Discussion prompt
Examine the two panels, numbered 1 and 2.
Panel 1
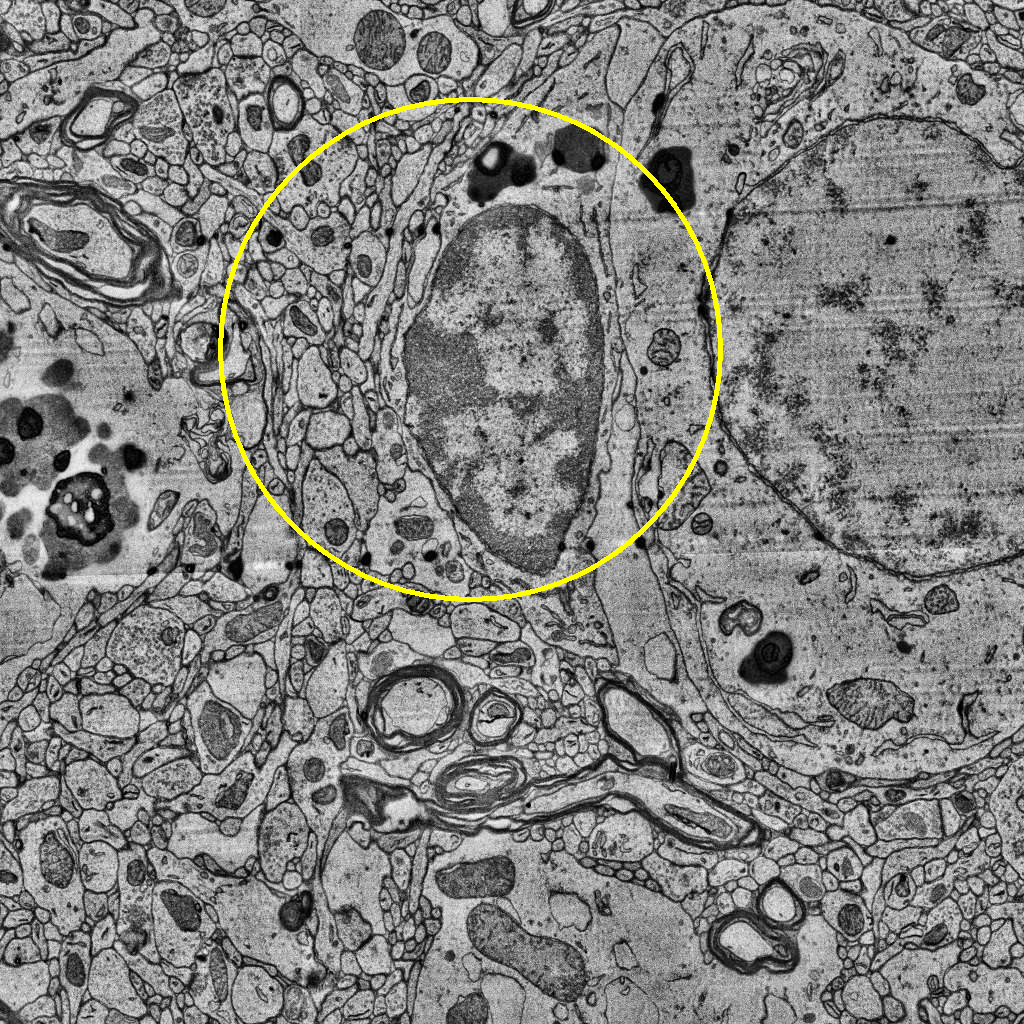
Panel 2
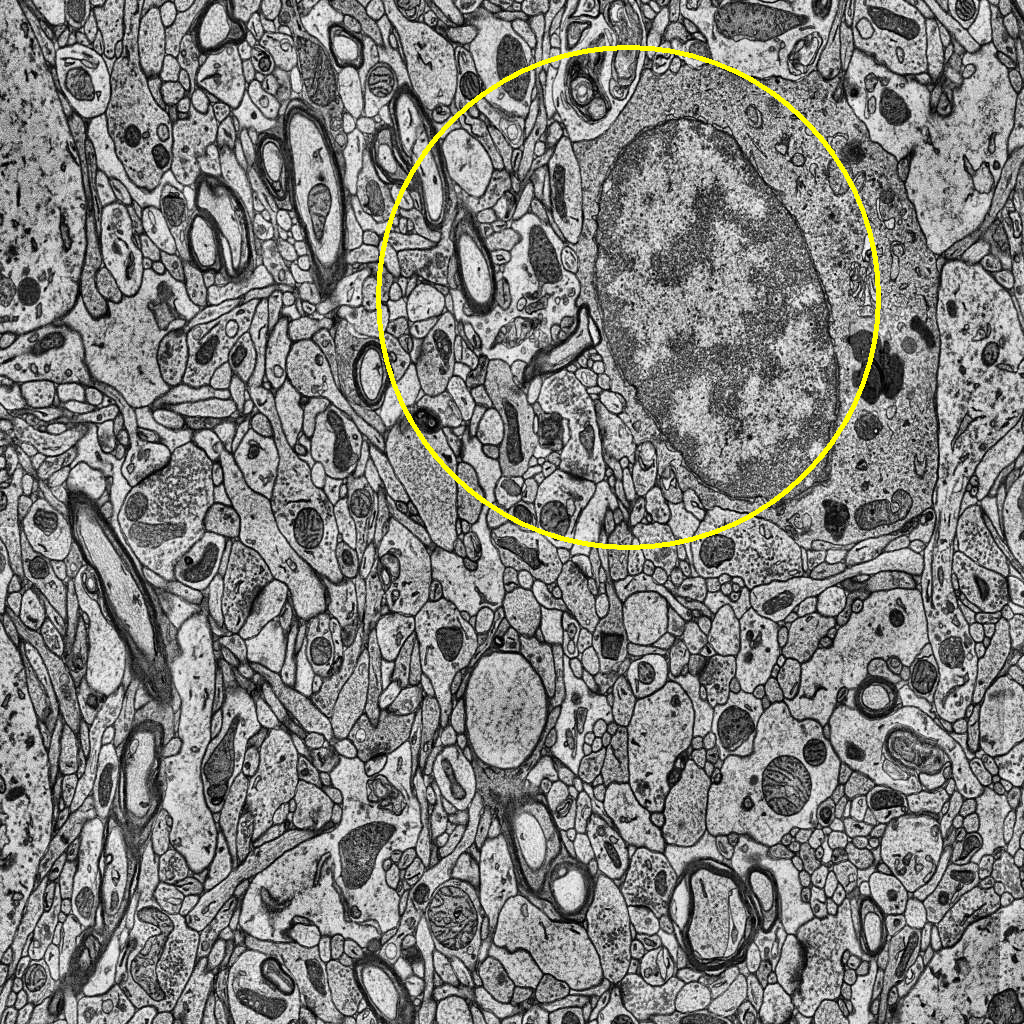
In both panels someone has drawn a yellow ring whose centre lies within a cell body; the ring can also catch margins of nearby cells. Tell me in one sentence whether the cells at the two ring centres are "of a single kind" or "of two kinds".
Taken together, the two cells at the ring centres of Panels 1 and 2 are of two kinds.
